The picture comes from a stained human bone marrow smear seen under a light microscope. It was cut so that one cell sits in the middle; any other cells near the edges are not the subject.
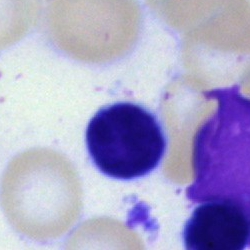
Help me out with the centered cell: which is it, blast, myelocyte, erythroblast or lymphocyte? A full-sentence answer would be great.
Framed in the middle of the crop is a lymphocyte.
